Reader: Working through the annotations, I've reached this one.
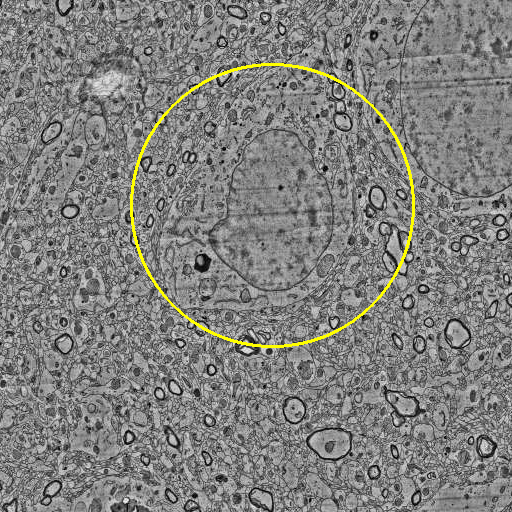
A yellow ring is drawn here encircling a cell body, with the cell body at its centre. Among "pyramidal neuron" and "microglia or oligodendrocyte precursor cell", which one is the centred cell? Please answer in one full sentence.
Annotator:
The cell body at the centre of the yellow ring in this image belongs to a pyramidal neuron.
